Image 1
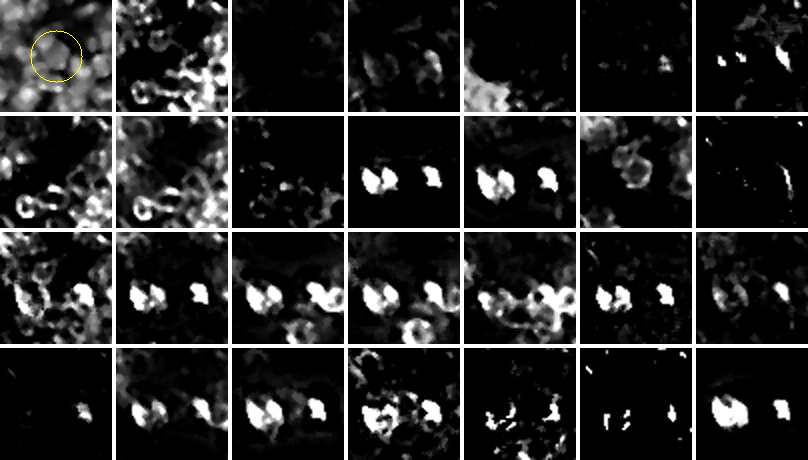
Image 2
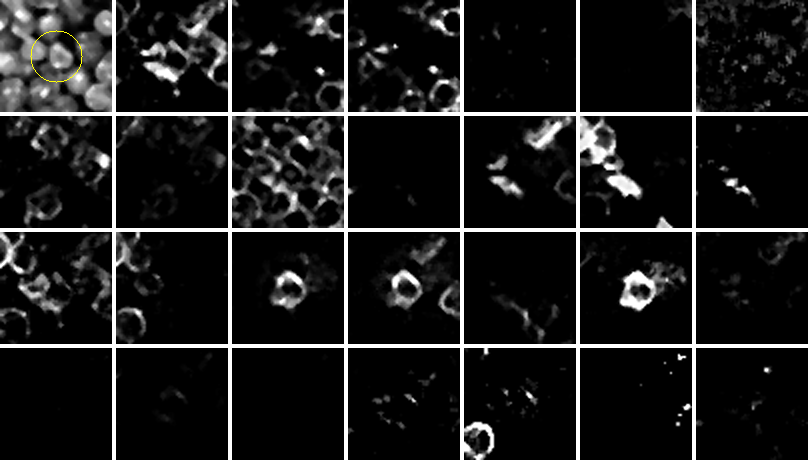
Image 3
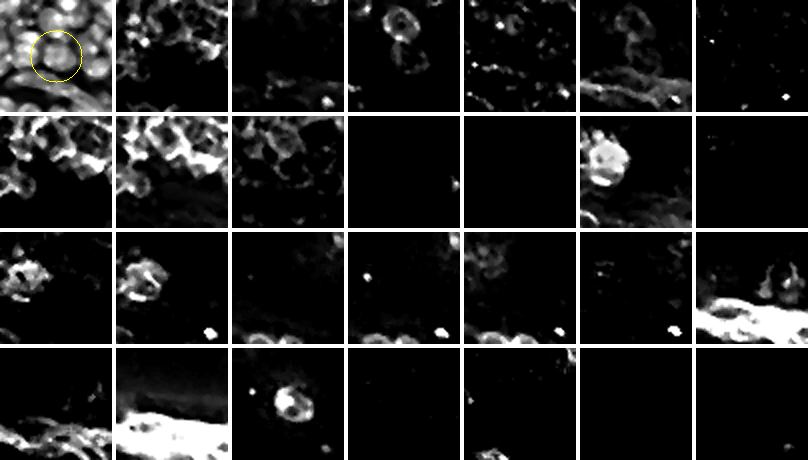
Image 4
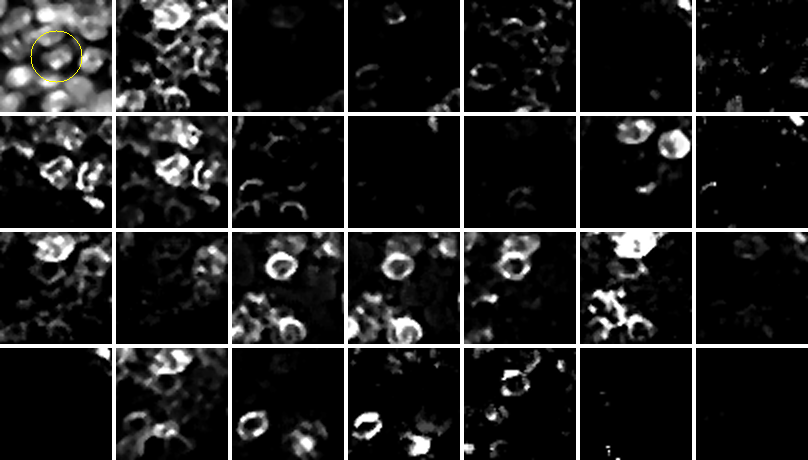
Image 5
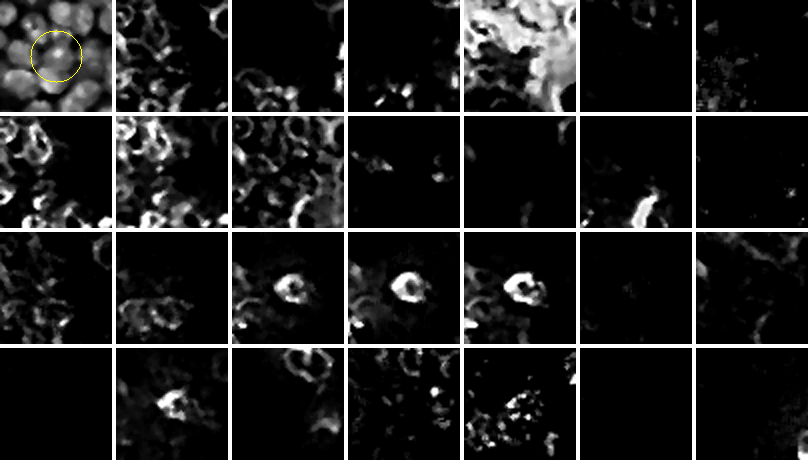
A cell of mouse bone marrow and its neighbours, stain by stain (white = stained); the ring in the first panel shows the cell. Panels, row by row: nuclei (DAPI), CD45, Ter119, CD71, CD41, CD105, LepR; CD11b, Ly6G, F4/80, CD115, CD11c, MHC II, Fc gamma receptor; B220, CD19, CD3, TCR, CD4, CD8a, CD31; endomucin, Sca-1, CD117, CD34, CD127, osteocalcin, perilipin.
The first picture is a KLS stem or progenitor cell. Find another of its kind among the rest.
Picture 3.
